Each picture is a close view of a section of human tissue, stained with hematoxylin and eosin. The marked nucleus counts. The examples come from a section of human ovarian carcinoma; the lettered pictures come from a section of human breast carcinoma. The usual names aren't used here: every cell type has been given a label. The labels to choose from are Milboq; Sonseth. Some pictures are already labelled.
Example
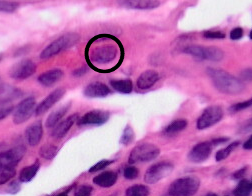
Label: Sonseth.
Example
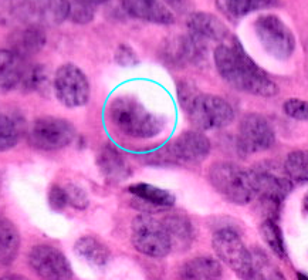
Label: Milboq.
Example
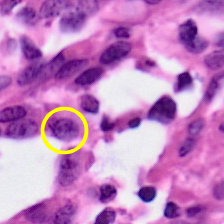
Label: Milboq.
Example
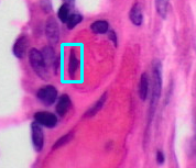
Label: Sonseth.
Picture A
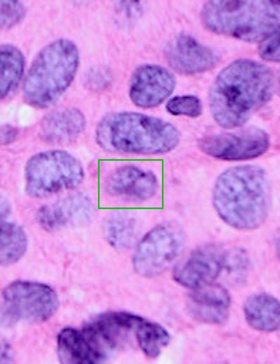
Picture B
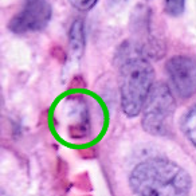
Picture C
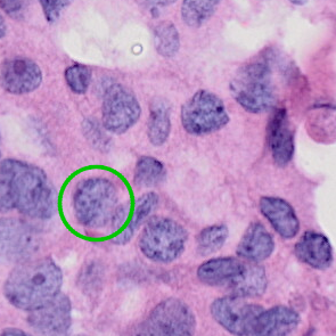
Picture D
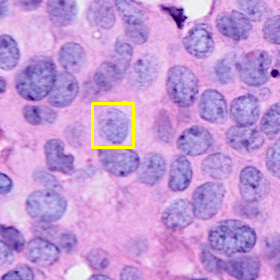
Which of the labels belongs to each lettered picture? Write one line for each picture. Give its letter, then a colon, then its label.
A: Milboq.
B: Sonseth.
C: Milboq.
D: Milboq.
